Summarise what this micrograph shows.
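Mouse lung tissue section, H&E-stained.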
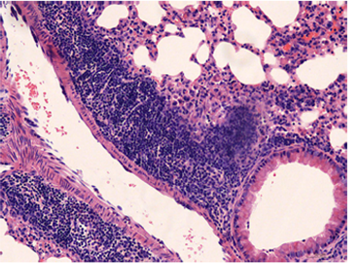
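The airway is lined by a pink columnar epithelium. At the top, alveolar spaces with thin pink septa remain open, though some septa near the infiltrate are thickened and cellular.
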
